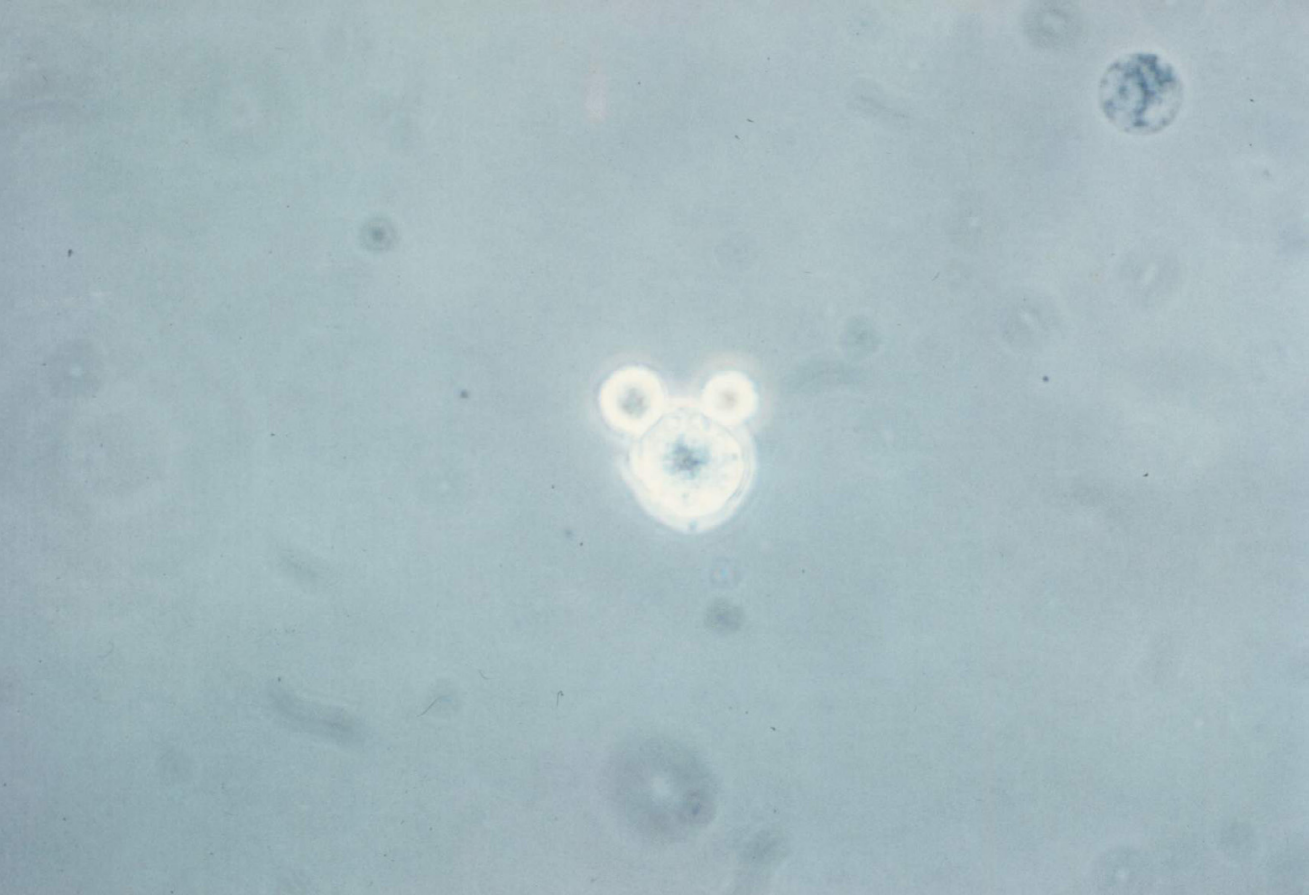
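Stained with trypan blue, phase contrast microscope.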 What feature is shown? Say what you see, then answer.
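Conjugate. Two small round bright cells sit attached to the upper edge of one larger round cell. The three cells touch each other as a single cluster in the centre of the field.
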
